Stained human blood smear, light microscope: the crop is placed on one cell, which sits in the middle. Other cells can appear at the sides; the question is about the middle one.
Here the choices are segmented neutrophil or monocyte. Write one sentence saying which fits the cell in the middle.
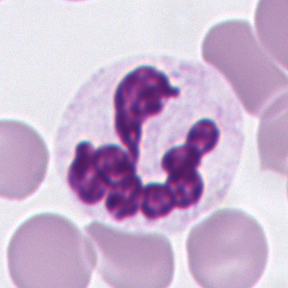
The centrally positioned cell in the crop represents a segmented neutrophil.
